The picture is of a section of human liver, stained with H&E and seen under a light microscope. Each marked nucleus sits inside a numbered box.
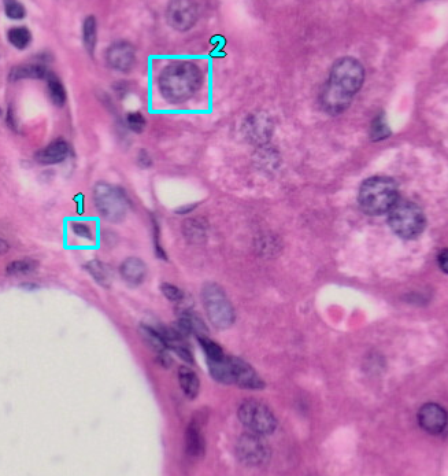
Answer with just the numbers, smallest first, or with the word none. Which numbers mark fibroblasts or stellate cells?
1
